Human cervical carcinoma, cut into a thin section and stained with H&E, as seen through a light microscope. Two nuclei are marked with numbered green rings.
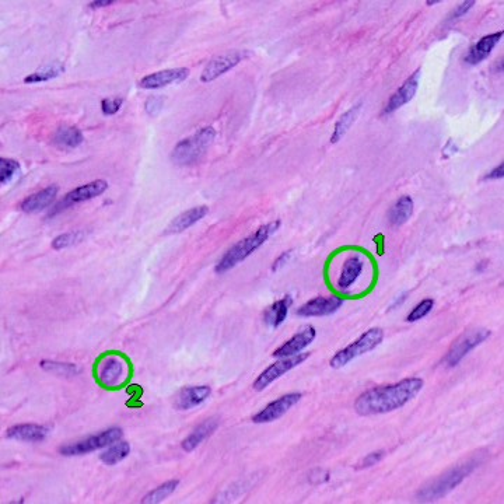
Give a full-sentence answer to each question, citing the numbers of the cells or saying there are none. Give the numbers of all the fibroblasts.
Only at number 1 is there a fibroblast.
